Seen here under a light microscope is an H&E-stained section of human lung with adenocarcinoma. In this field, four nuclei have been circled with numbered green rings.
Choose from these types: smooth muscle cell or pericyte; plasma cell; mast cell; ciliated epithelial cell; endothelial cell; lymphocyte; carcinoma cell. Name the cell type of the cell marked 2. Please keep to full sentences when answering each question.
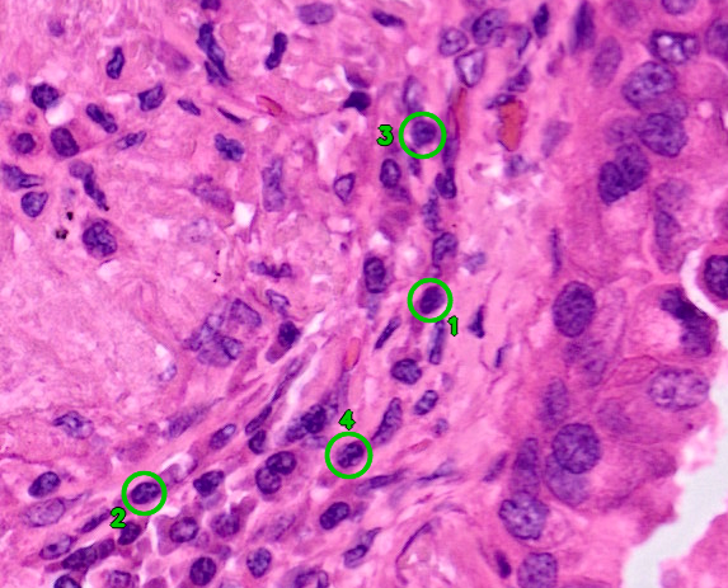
The cell indicated by marker 2 is a plasma cell in this section.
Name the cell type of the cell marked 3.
The cell to which the number 3 is assigned is a lymphocyte.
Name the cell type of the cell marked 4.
The marked cell bearing number 4 is a plasma cell.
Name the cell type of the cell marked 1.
The cell that is numbered 1 is a plasma cell.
